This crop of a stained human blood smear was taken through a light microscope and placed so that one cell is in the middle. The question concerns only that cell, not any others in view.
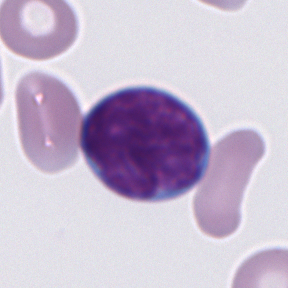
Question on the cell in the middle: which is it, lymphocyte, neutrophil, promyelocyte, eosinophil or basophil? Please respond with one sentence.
The cell at the middle of the crop is recognized as a lymphocyte.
